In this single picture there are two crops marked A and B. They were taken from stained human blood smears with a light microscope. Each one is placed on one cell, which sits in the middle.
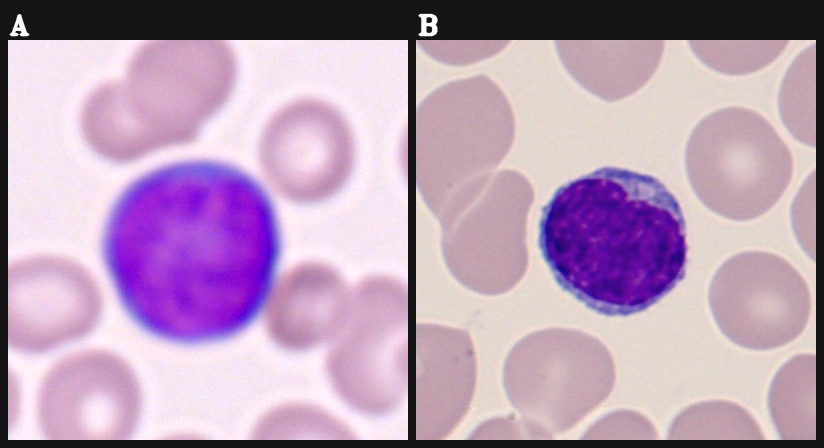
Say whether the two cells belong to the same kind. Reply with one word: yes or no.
no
